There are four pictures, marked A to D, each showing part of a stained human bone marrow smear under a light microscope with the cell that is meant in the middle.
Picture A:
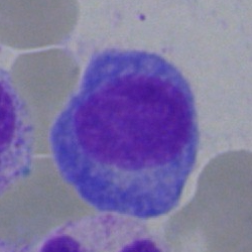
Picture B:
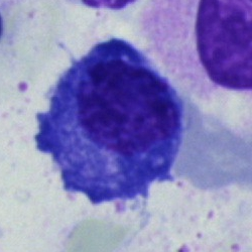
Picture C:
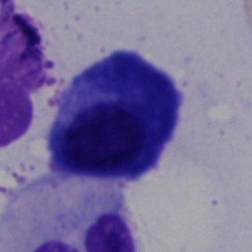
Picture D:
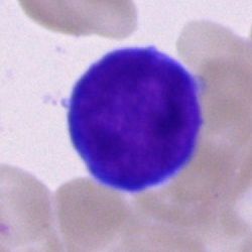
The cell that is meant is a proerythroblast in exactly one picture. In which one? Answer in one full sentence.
The cell in picture D is the proerythroblast.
